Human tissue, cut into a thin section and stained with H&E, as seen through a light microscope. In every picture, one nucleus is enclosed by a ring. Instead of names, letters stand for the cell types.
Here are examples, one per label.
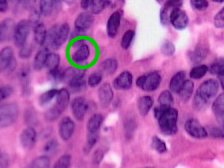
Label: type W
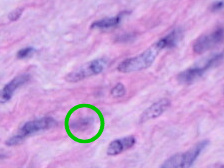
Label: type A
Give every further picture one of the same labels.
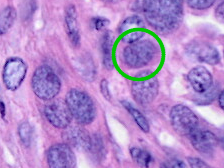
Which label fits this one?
type W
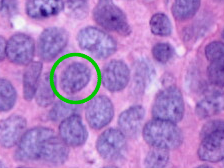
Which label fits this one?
type W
